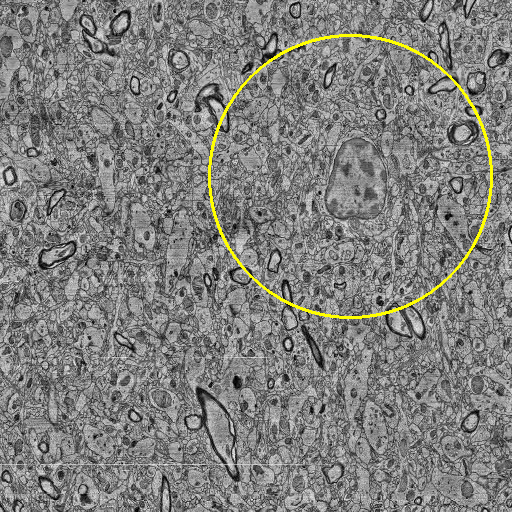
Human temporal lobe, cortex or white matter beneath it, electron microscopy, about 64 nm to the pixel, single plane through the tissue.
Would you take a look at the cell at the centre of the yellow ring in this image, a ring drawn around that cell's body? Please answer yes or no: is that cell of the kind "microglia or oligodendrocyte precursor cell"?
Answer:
yes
